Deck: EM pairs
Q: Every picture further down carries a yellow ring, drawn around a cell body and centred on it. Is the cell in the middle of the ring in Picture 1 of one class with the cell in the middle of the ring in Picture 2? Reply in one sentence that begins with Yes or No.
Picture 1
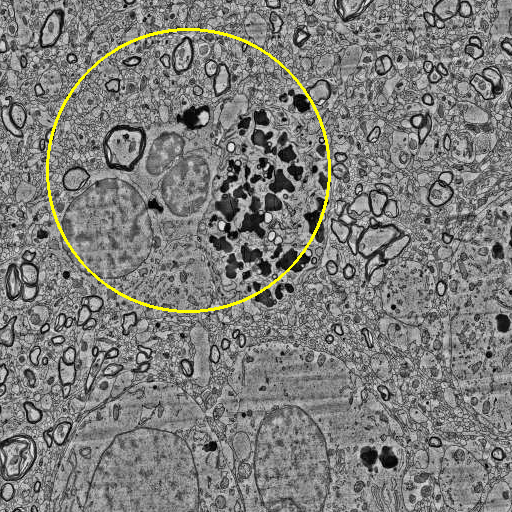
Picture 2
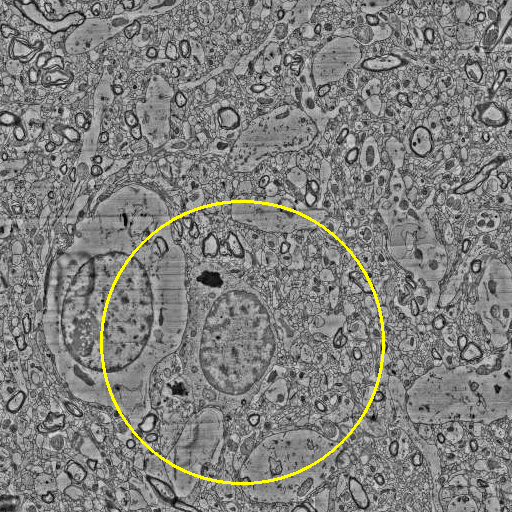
Yes, the cell centred in the ring of Picture 1 and the one in Picture 2 belong to one class.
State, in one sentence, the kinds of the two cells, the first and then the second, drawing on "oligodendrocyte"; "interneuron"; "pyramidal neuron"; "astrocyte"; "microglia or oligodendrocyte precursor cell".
Each one of the two ringed cells is an oligodendrocyte.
